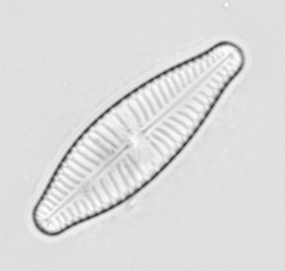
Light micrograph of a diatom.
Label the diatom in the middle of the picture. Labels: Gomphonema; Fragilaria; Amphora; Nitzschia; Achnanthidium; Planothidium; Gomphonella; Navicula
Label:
Gomphonema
